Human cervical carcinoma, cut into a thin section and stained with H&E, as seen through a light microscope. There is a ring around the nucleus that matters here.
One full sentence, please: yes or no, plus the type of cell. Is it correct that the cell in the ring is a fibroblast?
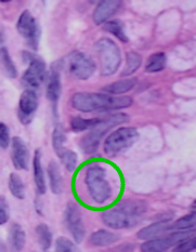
No, the cell in the ring is a secretory epithelial cell; it is not a fibroblast.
